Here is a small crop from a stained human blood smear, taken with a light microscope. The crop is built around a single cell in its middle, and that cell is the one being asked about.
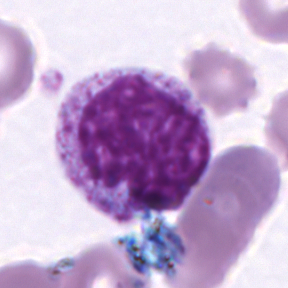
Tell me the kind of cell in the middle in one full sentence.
In short, the cell at the center is a metamyelocyte.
